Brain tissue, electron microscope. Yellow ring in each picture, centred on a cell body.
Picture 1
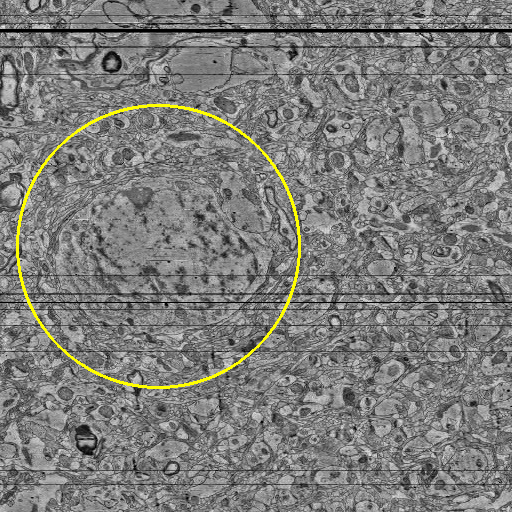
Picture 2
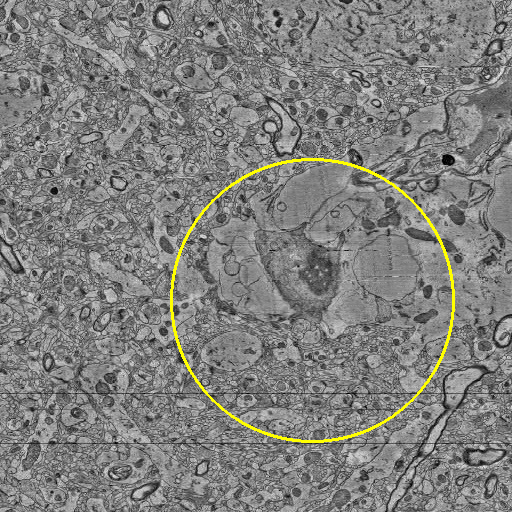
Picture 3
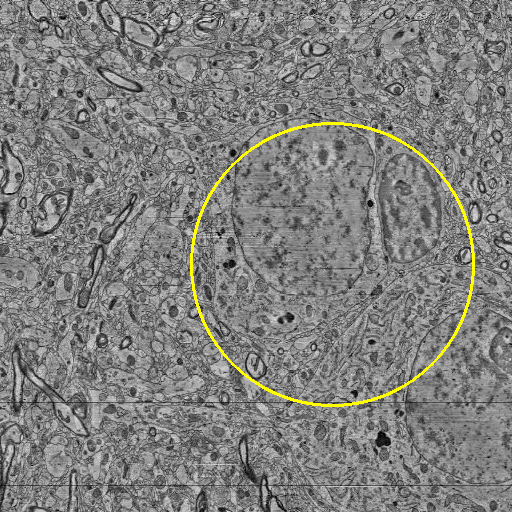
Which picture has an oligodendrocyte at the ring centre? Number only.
2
